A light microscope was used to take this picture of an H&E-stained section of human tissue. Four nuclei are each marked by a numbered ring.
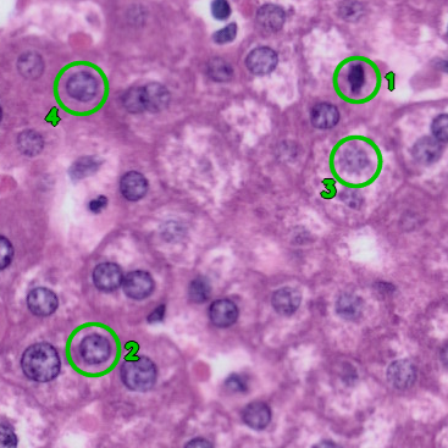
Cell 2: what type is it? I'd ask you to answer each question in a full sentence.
The cell tagged with 2 in this tissue section is a hepatocyte.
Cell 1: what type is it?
The marked cell with the number 1 is recognised as a fibroblast or stellate cell.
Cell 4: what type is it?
The cell that carries the label 4 is a hepatocyte.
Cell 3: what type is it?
Cell number 3 in this section is a hepatocyte.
